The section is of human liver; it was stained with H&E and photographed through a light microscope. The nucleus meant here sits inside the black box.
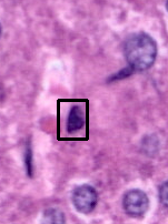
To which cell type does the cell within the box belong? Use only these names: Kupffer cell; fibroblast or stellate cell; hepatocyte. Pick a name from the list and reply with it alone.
fibroblast or stellate cell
